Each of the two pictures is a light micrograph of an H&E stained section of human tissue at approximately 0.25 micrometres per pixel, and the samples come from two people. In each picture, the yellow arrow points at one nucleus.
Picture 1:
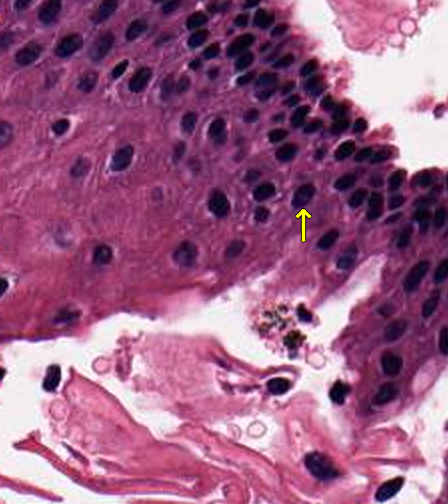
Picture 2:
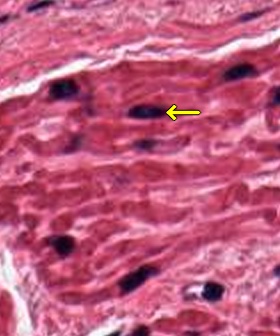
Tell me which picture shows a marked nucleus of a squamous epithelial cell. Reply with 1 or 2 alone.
1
